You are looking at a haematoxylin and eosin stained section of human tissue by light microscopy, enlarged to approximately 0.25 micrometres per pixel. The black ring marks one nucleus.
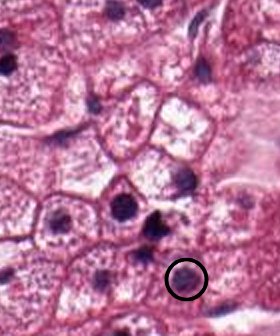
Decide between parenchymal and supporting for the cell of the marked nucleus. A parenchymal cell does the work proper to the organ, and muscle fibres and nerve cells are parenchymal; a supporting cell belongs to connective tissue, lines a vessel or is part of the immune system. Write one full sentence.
In this picture the marked nucleus belongs to an adrenal cortical cell, a parenchymal cell.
